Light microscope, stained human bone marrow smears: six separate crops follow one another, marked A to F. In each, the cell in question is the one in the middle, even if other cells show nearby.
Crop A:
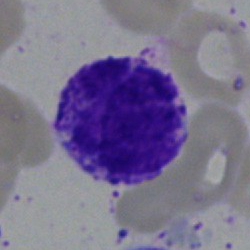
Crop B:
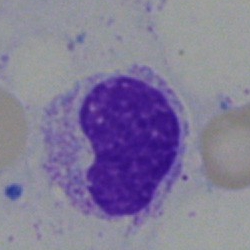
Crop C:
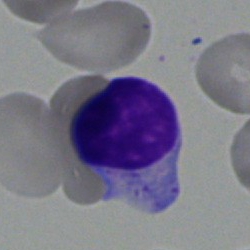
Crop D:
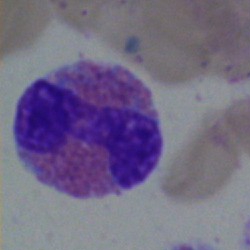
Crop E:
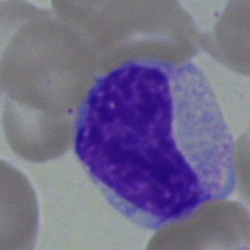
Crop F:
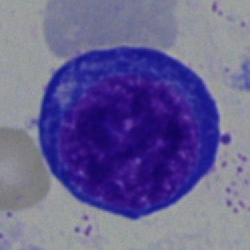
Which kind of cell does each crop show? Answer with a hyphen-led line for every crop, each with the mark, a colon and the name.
- A: basophil
- B: metamyelocyte
- C: lymphocyte
- D: eosinophil
- E: metamyelocyte
- F: proerythroblast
